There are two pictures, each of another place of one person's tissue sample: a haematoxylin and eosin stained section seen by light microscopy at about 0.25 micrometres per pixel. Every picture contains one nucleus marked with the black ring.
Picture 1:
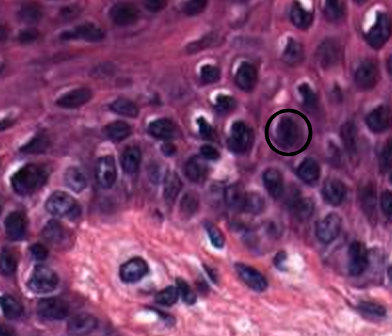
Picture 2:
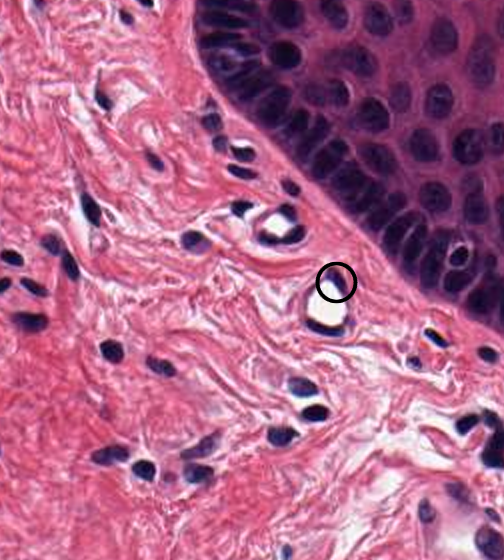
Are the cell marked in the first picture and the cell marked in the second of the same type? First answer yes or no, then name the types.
No, the first is a squamous epithelial cell and the second an endothelial cell.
